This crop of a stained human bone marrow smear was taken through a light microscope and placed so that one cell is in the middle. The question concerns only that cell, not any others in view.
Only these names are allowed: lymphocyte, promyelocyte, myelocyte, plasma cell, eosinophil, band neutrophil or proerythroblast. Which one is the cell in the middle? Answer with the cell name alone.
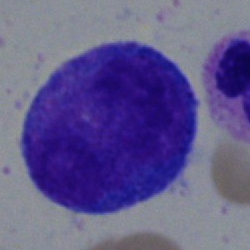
promyelocyte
